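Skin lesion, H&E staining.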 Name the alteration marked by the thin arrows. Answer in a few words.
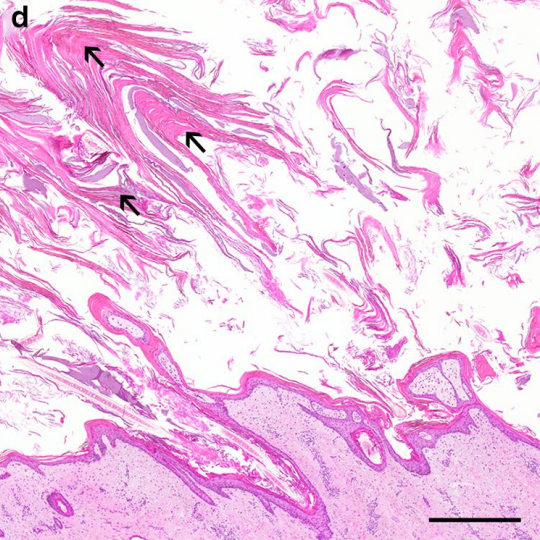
Orthokeratotic hyperkeratosis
